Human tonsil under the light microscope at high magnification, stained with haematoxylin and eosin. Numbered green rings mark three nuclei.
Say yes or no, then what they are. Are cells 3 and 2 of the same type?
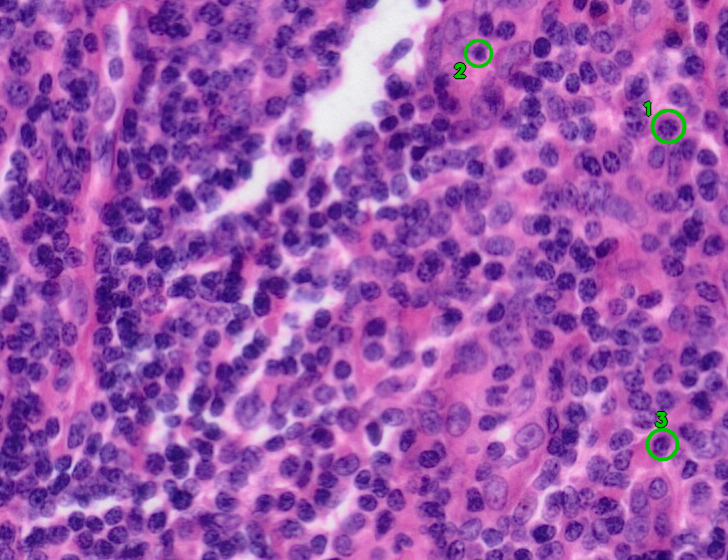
No, cell 3 is a plasma cell and cell 2 is an endothelial cell.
